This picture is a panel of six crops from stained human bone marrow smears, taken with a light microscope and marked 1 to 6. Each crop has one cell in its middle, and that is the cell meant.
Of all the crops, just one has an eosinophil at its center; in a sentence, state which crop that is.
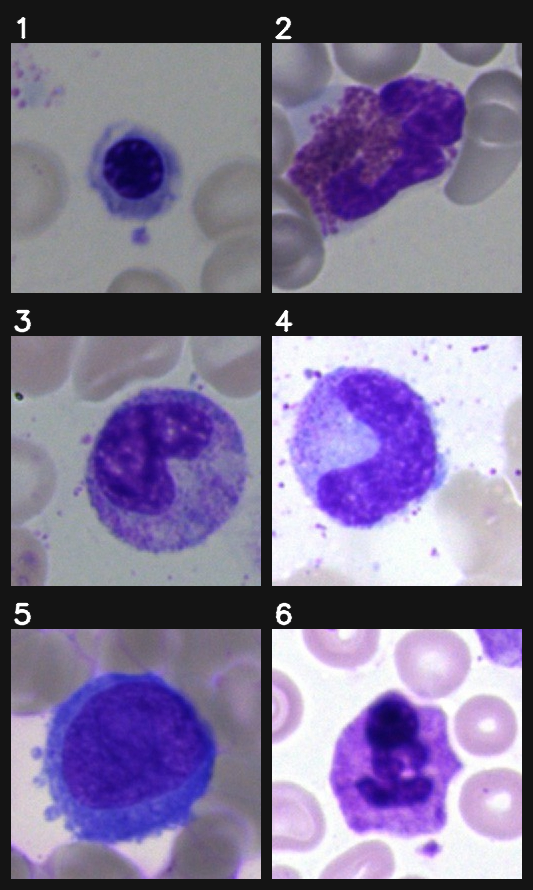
The crop with an eosinophil in it is crop 2.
